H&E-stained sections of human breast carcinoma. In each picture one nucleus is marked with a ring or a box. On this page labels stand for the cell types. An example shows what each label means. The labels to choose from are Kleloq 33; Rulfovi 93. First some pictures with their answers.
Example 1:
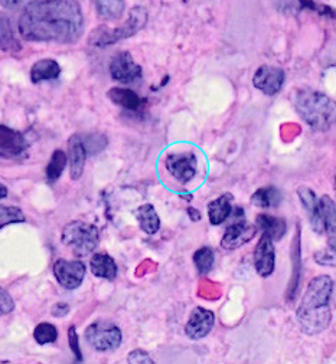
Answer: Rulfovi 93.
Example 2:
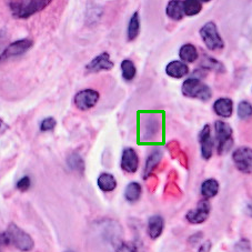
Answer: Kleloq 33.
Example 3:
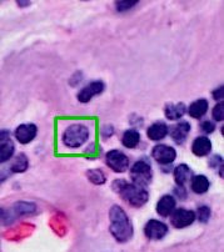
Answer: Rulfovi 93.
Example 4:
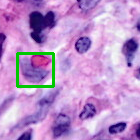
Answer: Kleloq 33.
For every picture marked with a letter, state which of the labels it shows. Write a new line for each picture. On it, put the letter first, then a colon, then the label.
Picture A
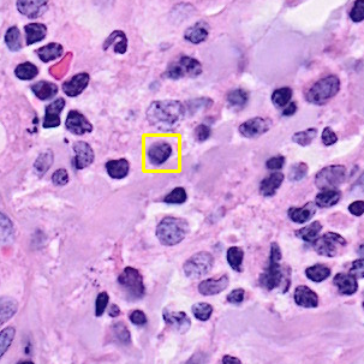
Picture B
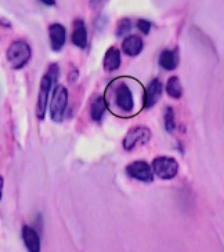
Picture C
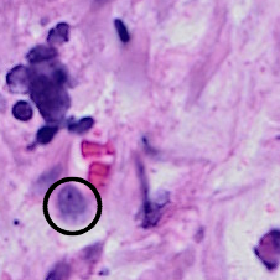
A: Rulfovi 93.
B: Rulfovi 93.
C: Kleloq 33.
